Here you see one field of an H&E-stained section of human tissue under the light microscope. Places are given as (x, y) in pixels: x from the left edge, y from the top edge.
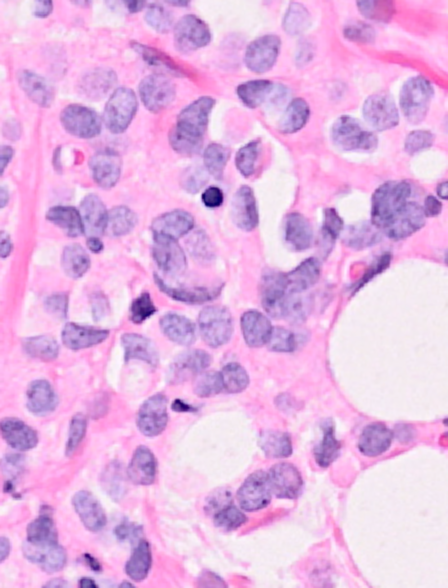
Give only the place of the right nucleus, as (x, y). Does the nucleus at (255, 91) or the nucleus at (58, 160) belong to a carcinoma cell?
(255, 91)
